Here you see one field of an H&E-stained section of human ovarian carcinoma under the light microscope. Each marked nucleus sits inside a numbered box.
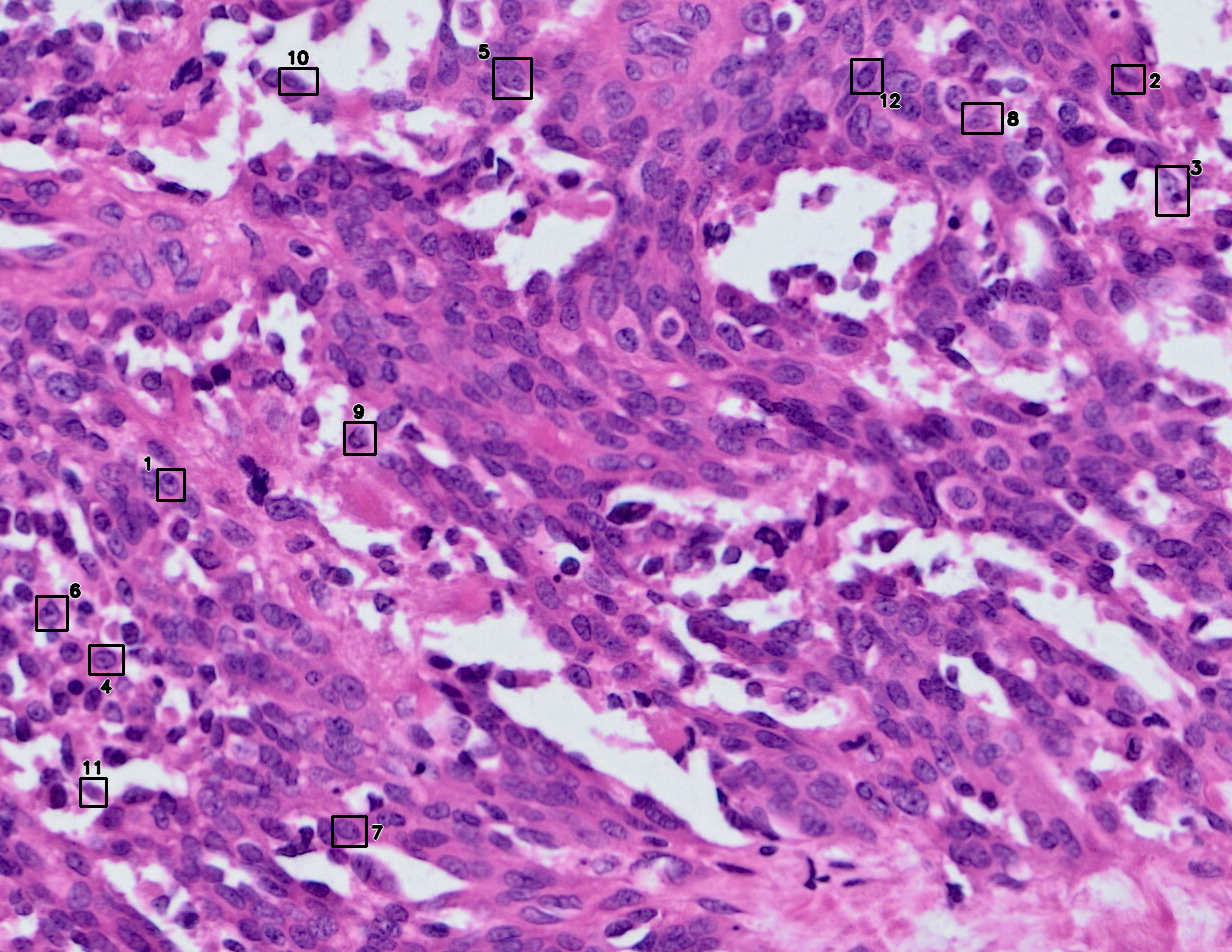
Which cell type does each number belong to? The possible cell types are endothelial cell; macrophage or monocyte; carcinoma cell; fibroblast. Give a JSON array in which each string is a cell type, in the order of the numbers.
["macrophage or monocyte", "endothelial cell", "macrophage or monocyte", "macrophage or monocyte", "carcinoma cell", "macrophage or monocyte", "carcinoma cell", "carcinoma cell", "macrophage or monocyte", "carcinoma cell", "carcinoma cell", "carcinoma cell"]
